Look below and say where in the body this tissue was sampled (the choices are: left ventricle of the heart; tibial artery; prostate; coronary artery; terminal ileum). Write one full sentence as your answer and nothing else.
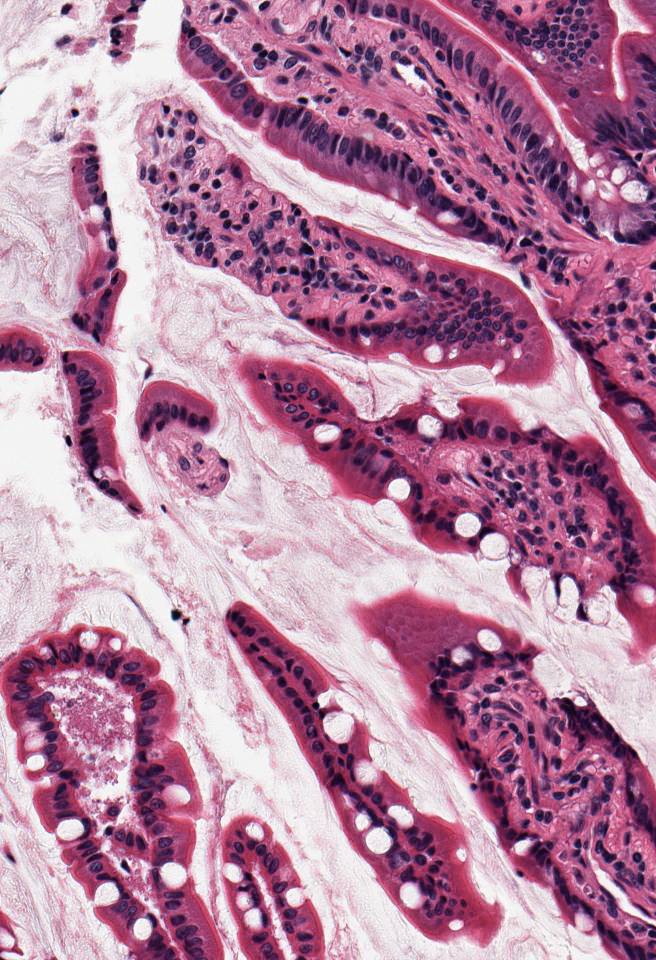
Taken from the terminal ileum, this tissue forms the section.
